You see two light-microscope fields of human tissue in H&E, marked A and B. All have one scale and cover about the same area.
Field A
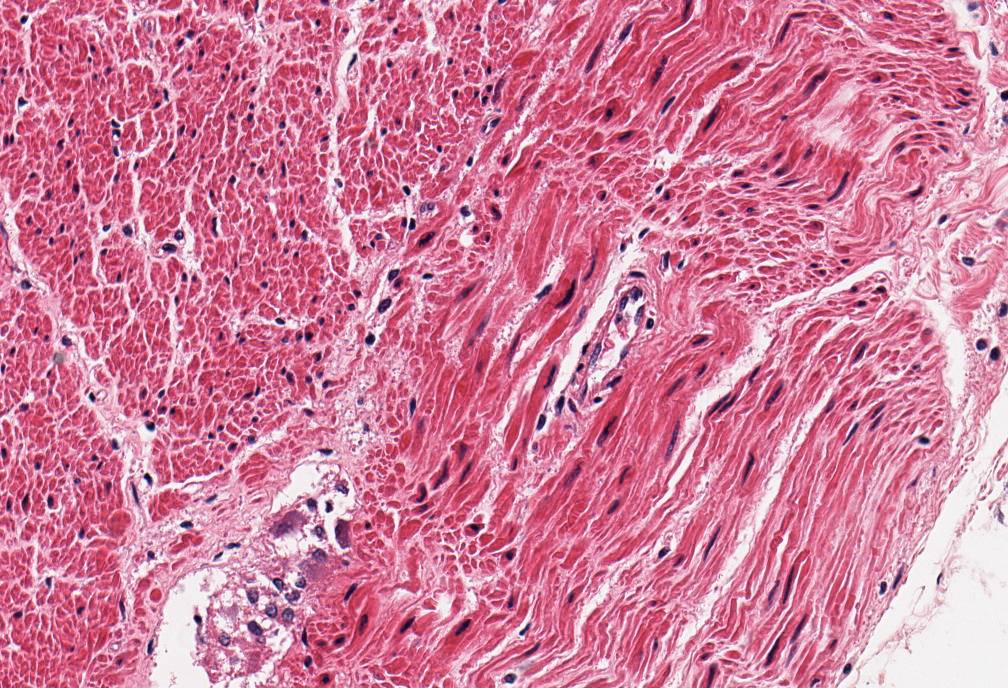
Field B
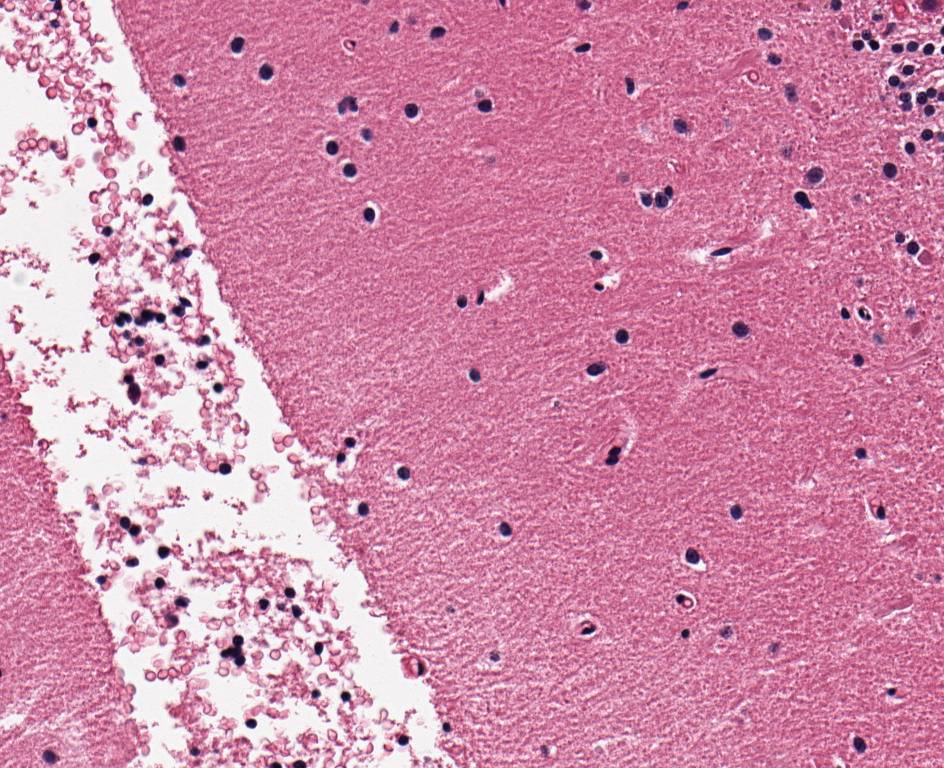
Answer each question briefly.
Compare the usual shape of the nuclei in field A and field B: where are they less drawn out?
B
